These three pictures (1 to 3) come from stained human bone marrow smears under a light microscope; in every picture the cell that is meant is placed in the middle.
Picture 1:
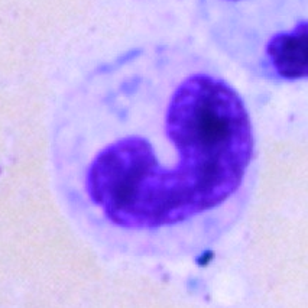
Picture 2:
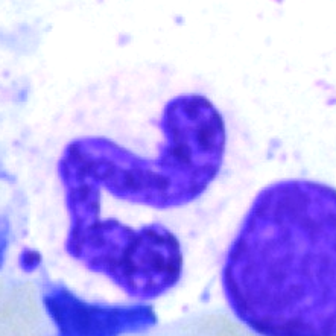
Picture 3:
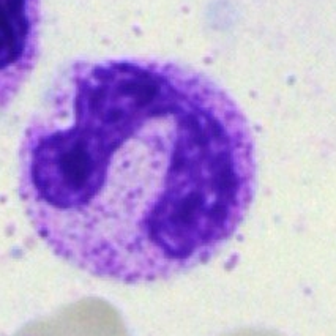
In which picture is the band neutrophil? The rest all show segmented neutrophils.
1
